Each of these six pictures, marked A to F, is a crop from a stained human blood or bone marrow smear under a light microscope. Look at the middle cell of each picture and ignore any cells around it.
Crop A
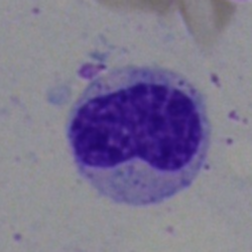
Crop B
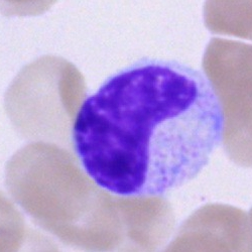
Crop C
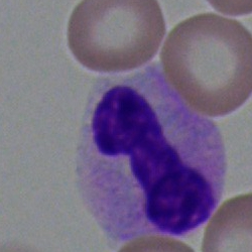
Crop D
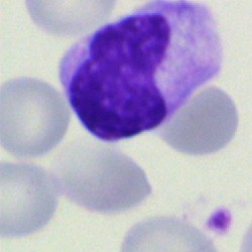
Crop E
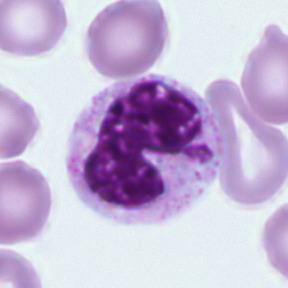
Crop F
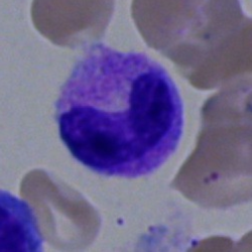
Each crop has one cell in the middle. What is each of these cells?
A: metamyelocyte
B: metamyelocyte
C: band neutrophil
D: metamyelocyte
E: band neutrophil
F: band neutrophil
